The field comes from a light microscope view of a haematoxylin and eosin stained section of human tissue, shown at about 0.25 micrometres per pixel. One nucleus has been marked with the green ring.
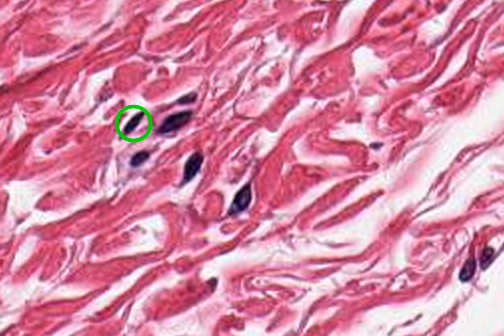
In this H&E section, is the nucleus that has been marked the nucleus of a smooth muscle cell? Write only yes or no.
no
